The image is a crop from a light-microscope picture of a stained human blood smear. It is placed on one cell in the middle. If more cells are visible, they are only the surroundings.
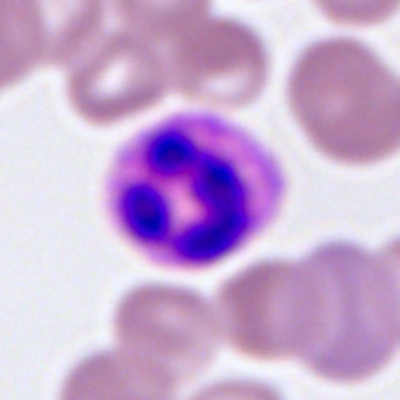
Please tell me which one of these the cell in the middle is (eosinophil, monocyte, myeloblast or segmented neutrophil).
segmented neutrophil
